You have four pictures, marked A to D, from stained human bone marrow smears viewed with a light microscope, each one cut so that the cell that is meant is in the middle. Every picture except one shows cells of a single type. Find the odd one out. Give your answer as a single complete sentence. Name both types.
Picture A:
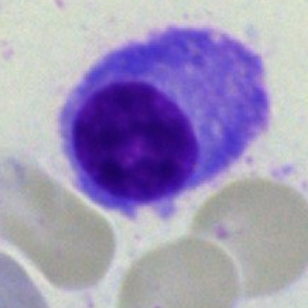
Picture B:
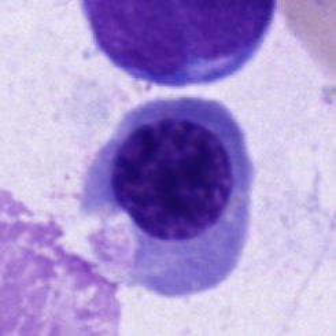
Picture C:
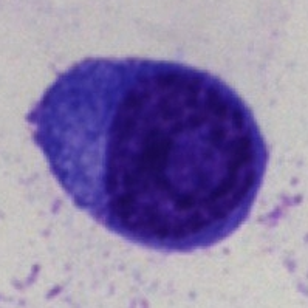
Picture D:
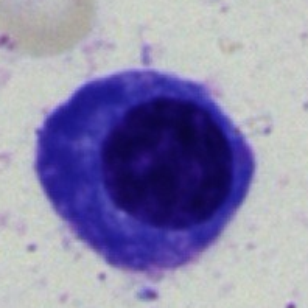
Unlike the rest, which show plasma cells, picture B shows an erythroblast.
